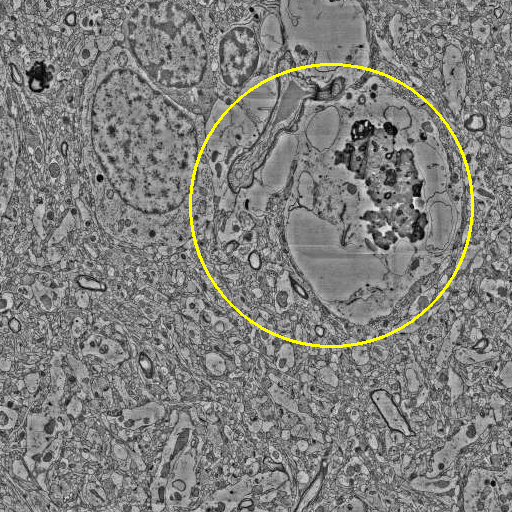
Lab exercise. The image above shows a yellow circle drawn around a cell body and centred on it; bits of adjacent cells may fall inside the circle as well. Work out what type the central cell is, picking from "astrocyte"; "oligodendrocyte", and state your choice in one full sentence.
In the image above, the cell at the centre of the yellow circle is an astrocyte.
